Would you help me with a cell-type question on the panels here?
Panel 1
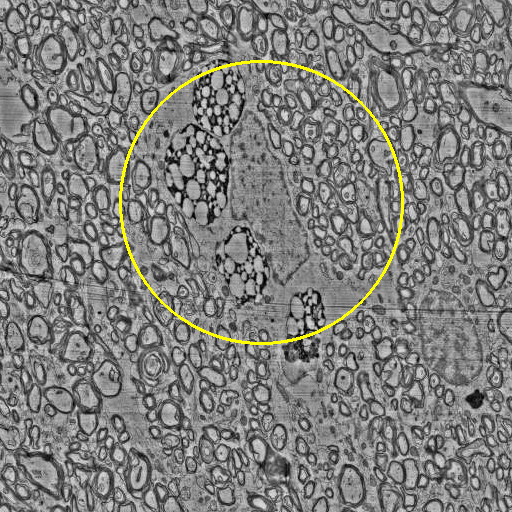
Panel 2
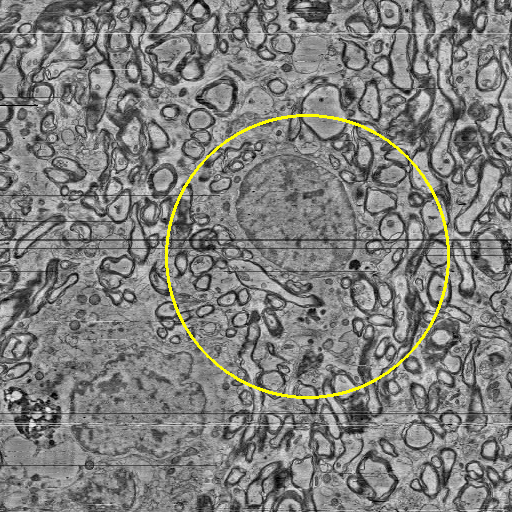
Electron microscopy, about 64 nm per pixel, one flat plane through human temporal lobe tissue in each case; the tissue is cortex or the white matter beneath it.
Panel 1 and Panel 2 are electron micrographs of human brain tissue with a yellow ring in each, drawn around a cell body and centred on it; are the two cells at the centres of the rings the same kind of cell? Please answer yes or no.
no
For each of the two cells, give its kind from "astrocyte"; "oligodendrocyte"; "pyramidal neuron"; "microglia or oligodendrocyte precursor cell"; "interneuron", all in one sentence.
The first picture has an astrocyte in its ring, the second has an oligodendrocyte.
